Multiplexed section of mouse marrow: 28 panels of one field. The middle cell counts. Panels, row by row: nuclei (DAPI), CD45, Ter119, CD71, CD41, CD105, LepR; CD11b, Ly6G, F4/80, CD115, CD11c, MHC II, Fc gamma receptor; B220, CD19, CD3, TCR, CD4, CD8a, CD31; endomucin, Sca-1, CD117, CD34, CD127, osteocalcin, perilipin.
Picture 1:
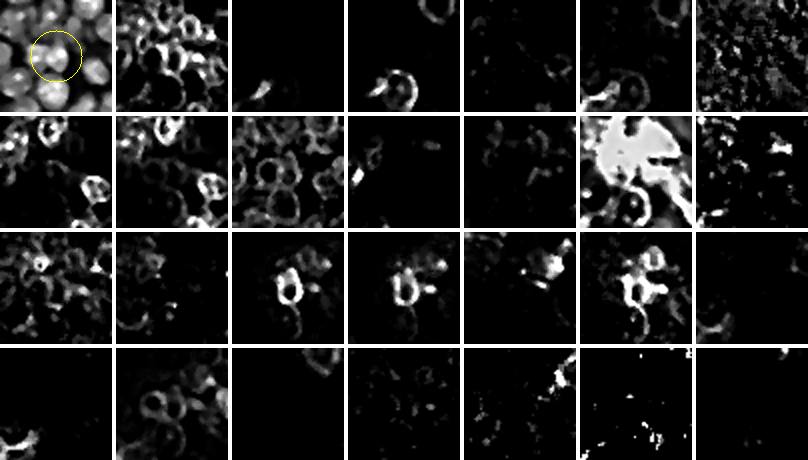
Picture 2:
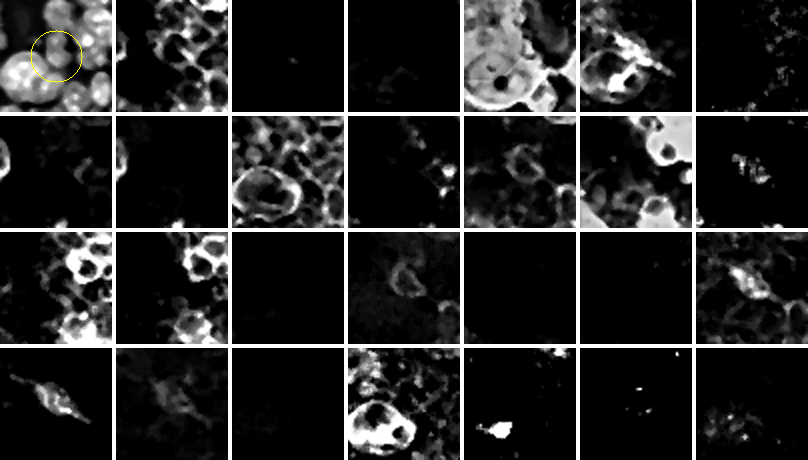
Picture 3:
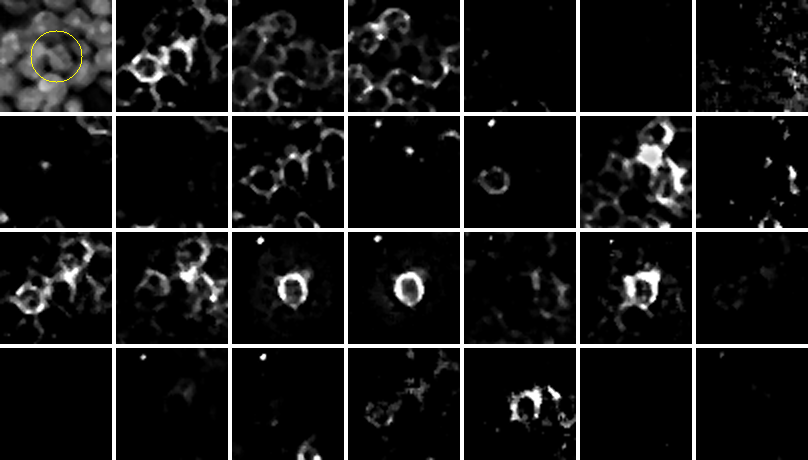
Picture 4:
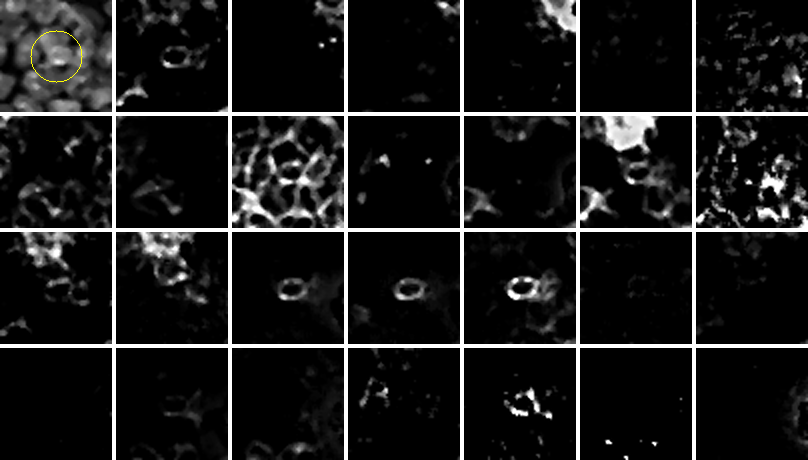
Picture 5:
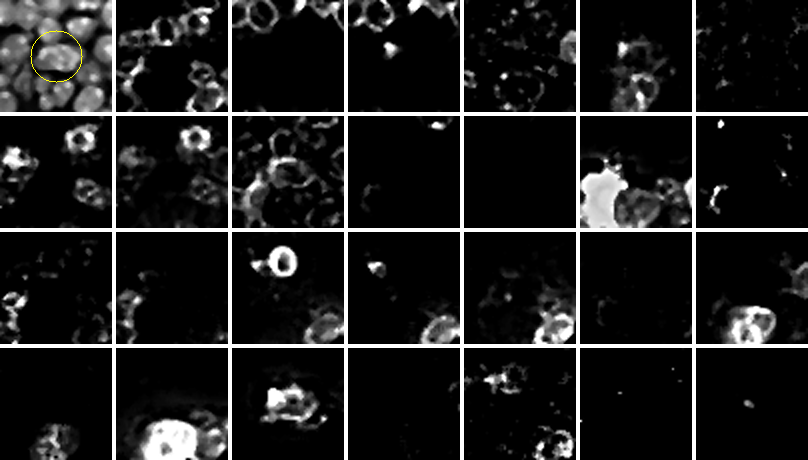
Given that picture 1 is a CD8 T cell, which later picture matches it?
3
